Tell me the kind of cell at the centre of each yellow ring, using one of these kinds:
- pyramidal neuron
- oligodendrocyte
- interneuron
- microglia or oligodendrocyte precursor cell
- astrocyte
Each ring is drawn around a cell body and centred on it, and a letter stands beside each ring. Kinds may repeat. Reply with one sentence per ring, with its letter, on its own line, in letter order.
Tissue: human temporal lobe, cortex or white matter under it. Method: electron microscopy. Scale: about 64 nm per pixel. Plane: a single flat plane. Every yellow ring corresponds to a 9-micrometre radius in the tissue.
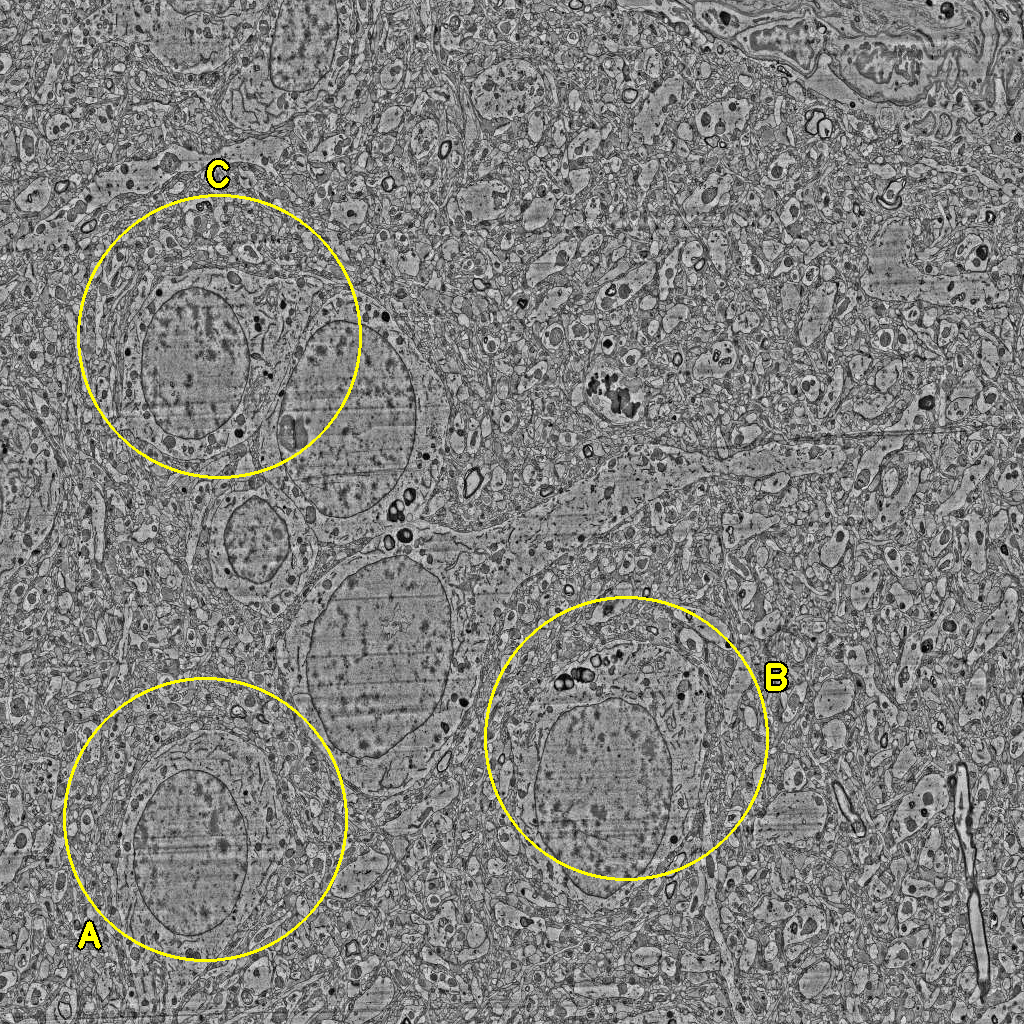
The ring labelled A is centred on a pyramidal neuron.
The ring labelled B is centred on a pyramidal neuron.
The ring labelled C is centred on a pyramidal neuron.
